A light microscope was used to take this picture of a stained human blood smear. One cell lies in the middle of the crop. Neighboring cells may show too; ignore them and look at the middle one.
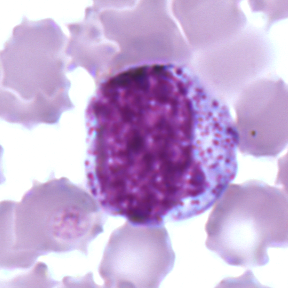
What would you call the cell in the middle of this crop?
metamyelocyte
